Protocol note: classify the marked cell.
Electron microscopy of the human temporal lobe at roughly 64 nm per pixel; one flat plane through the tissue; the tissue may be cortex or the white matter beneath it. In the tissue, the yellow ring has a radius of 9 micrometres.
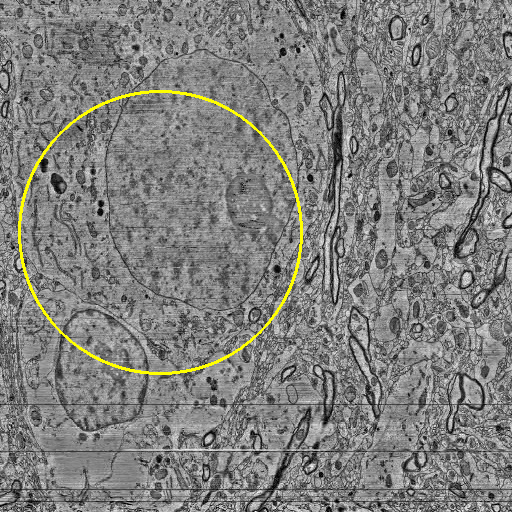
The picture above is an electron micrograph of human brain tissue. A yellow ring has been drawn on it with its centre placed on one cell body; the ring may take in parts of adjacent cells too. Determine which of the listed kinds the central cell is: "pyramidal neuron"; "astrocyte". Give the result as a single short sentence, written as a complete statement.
The central cell is a pyramidal neuron.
